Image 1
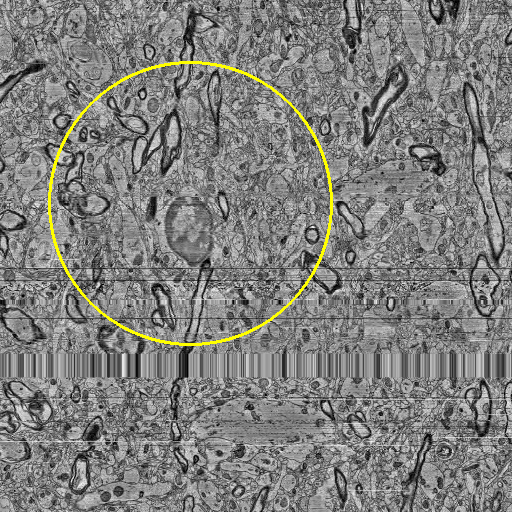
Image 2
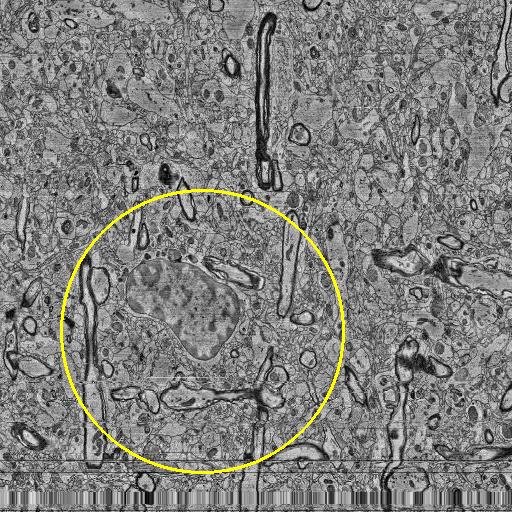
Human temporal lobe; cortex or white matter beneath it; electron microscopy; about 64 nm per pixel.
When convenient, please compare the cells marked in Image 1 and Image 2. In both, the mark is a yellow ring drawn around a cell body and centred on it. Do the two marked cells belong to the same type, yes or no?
yes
